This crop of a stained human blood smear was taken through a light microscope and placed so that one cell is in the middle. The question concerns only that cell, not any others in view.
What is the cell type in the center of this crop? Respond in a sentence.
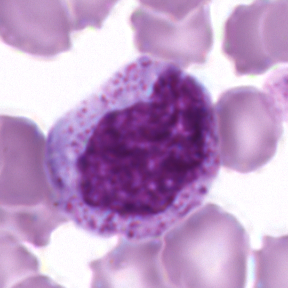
Located at the centre of the crop is a myelocyte.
